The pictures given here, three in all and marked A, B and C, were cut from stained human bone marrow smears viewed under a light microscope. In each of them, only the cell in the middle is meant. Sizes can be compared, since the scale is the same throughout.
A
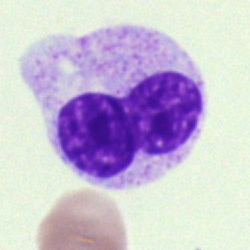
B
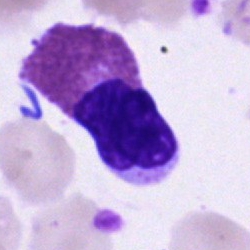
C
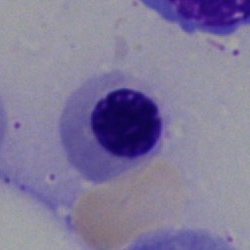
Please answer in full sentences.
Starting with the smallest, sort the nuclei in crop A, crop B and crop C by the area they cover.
From the smallest up, the order is C, B, A.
